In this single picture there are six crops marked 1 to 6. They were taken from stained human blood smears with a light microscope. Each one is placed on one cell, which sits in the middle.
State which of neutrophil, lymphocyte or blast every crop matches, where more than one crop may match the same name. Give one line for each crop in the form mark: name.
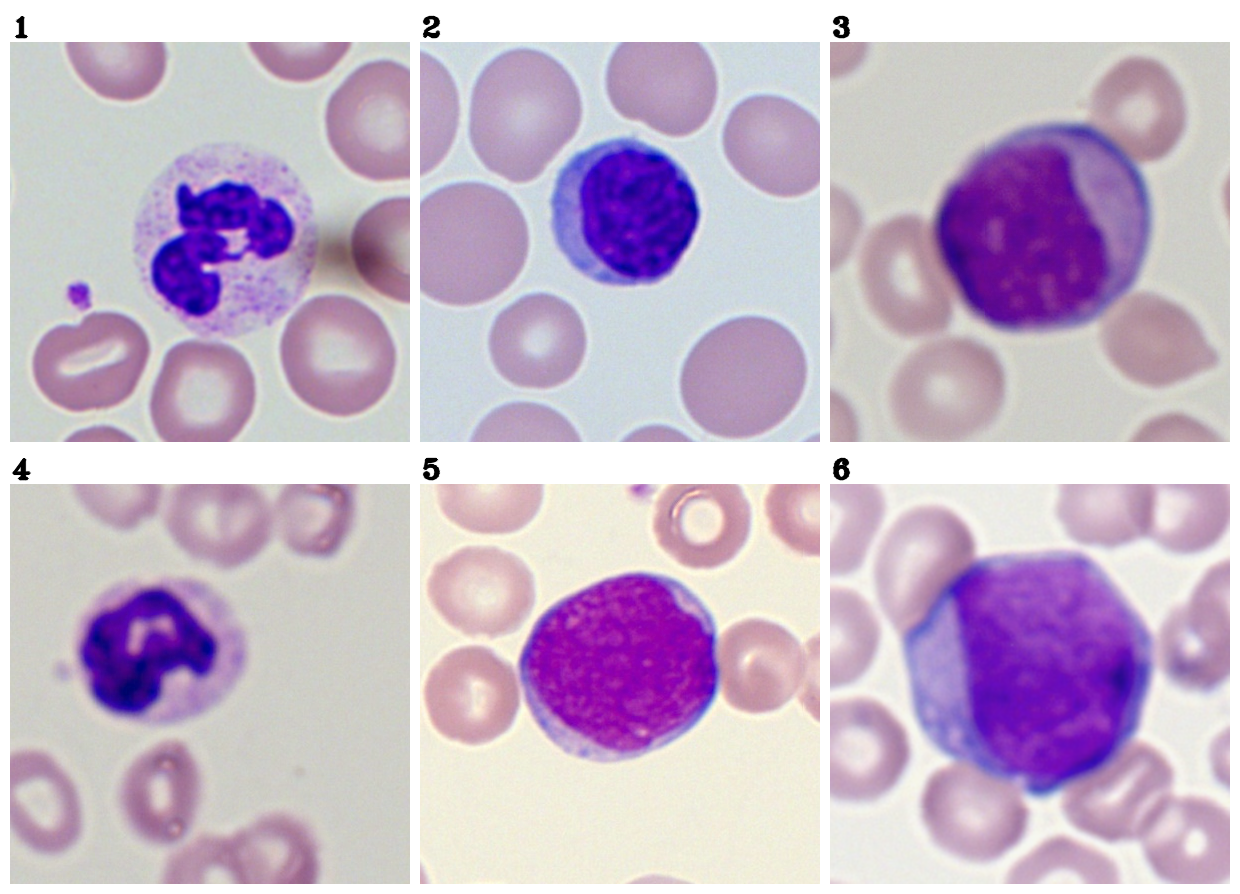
1: neutrophil
2: lymphocyte
3: blast
4: neutrophil
5: blast
6: blast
